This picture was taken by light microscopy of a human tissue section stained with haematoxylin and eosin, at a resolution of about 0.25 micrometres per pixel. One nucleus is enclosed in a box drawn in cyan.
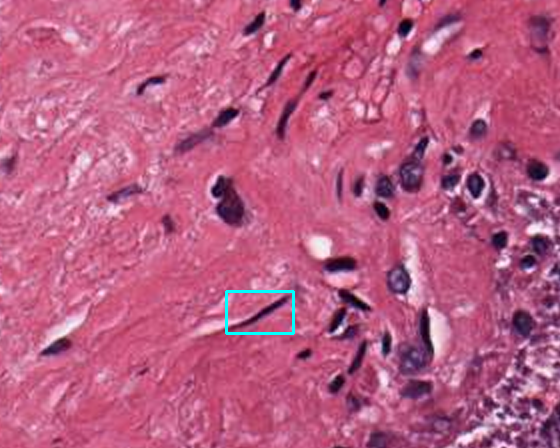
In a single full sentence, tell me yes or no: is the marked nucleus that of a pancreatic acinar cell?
No, the marked nucleus sits in a supporting cell; a pancreatic acinar cell does not contain it.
